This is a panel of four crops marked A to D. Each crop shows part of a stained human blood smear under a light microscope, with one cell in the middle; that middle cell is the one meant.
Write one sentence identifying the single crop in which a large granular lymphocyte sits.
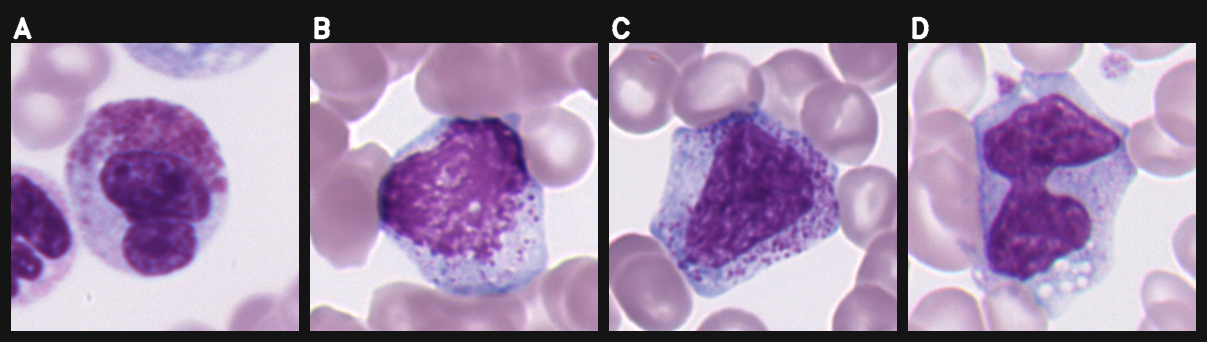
Crop B is where a large granular lymphocyte is shown.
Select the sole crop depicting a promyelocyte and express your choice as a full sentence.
Crop C is the crop featuring a promyelocyte at its center.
